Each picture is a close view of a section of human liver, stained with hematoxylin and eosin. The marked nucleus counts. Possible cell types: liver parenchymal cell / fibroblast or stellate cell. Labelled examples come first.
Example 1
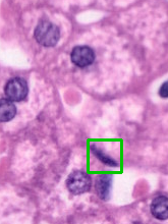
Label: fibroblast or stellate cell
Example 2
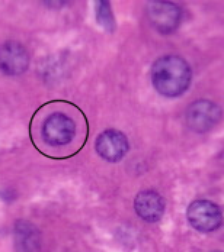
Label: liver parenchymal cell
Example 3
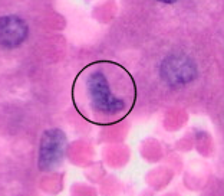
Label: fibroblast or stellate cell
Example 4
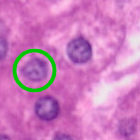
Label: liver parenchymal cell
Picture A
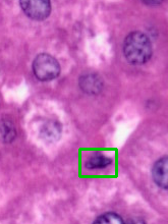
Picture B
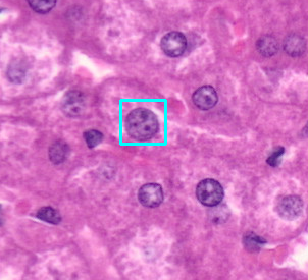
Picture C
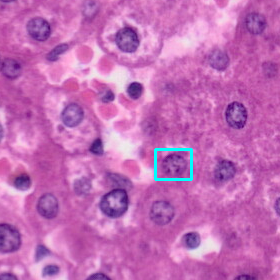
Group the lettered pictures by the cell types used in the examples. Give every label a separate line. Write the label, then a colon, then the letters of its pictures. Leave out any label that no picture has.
liver parenchymal cell: B, C
fibroblast or stellate cell: A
